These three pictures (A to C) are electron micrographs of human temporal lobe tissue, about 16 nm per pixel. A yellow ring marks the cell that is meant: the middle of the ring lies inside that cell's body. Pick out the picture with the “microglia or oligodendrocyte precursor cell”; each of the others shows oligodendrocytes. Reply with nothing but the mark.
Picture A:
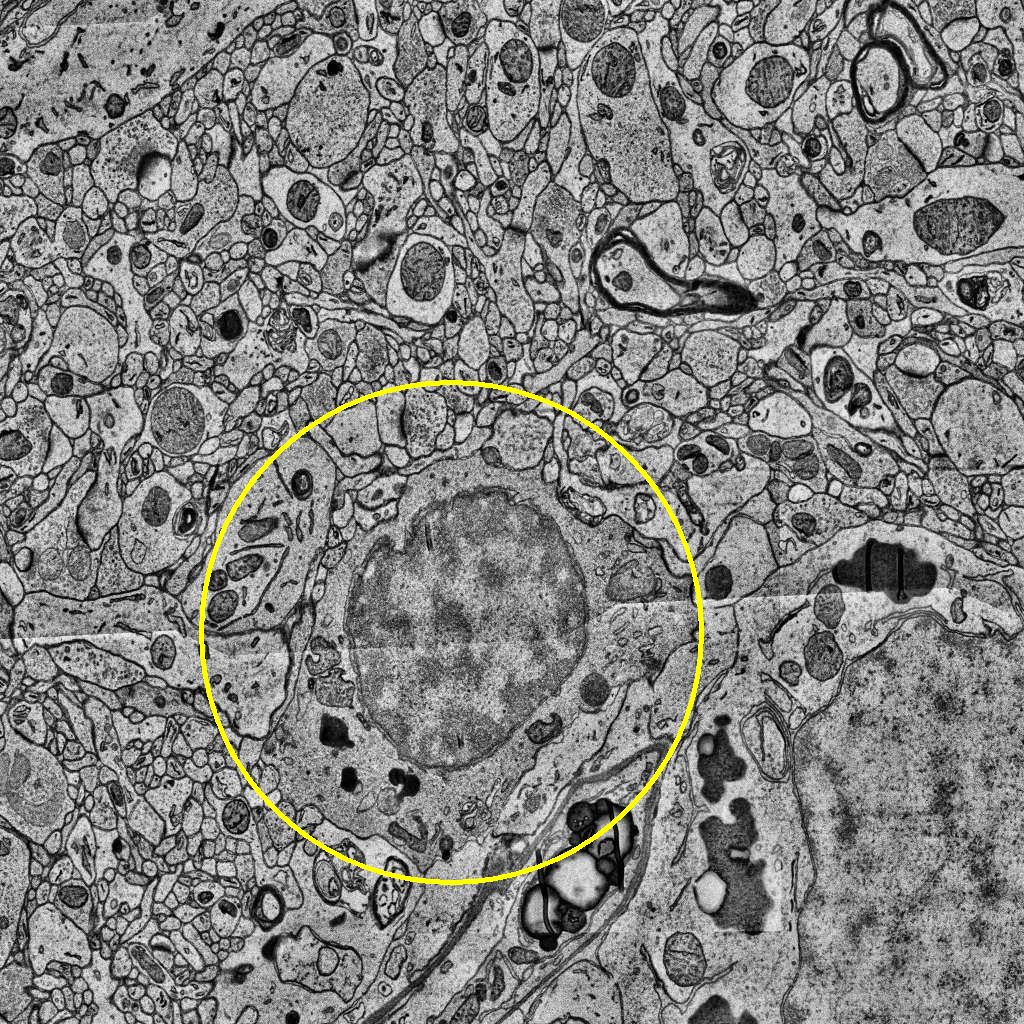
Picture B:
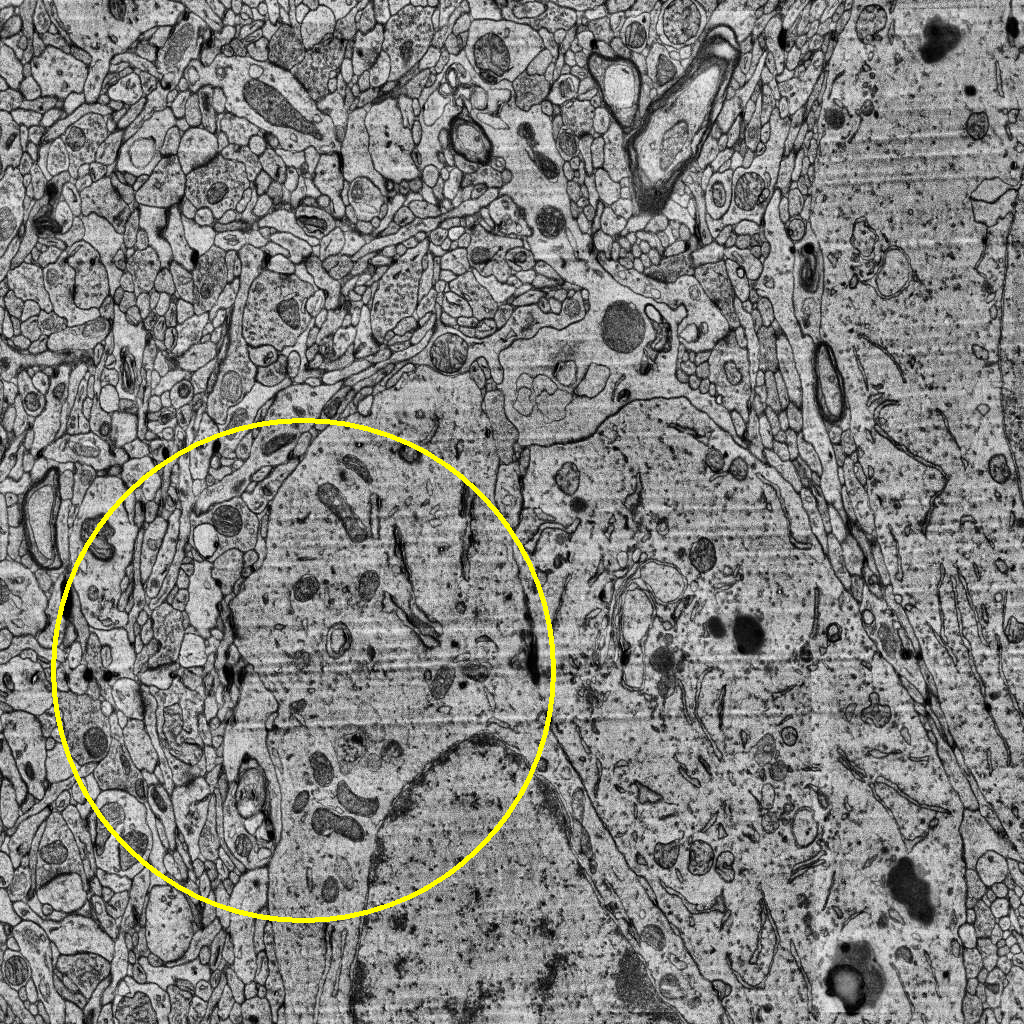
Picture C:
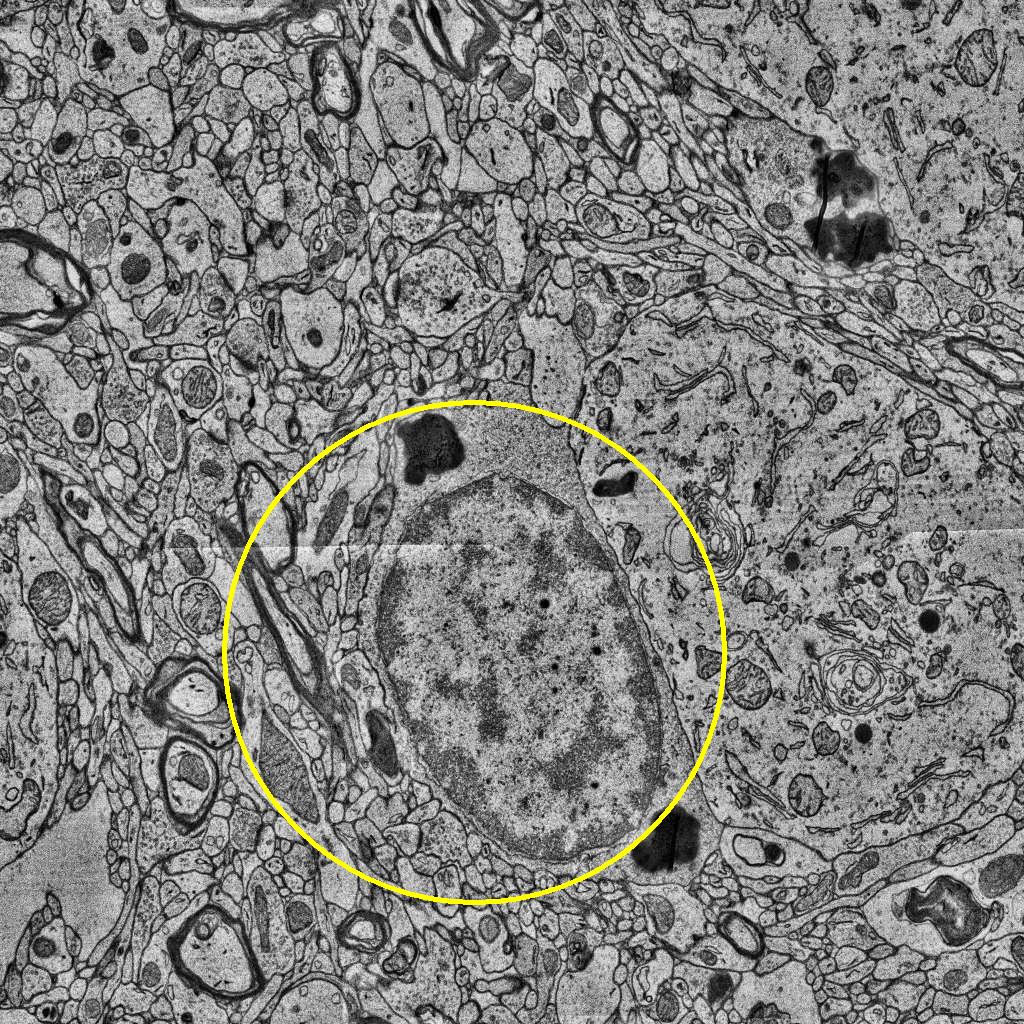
B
